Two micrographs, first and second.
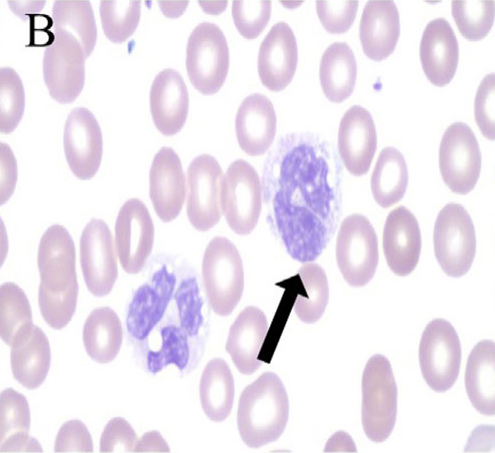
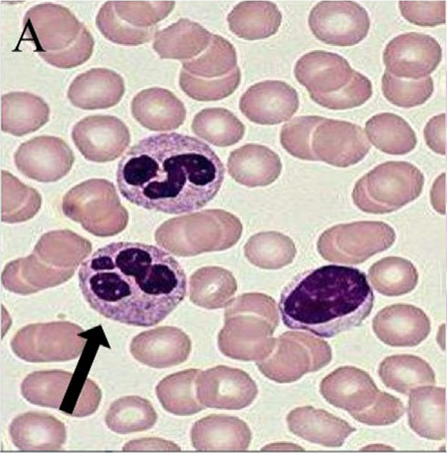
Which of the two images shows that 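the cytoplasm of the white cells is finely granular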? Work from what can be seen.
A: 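First image: the white cells have pale, nearly clear cytoplasm with little granularity. Second image: the white cells have lilac cytoplasm with fine granules.
The second image.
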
